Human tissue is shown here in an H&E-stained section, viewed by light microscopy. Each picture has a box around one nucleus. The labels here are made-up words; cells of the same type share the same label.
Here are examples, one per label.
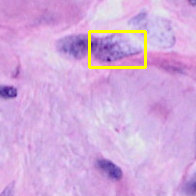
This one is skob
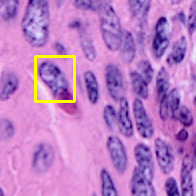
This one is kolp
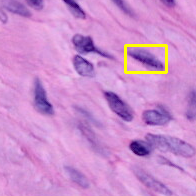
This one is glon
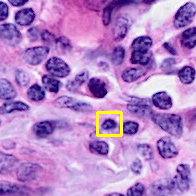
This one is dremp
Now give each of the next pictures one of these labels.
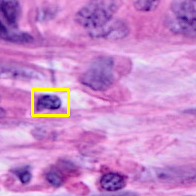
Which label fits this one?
dremp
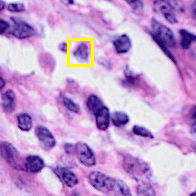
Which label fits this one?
dremp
